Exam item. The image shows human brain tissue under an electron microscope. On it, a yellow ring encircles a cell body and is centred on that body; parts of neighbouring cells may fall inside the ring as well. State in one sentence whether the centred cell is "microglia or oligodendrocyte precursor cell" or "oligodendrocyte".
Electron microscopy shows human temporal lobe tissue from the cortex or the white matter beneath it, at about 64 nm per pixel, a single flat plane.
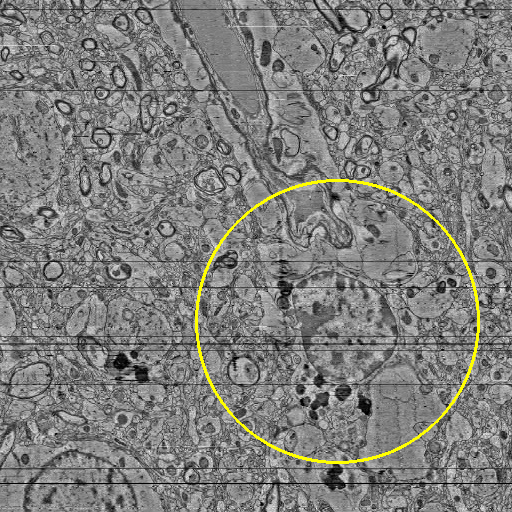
The cell body centred in the ring is a microglial cell or oligodendrocyte precursor cell.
